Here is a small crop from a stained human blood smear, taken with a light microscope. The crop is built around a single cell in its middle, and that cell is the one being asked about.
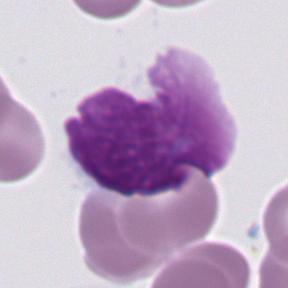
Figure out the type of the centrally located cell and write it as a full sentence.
Classification of the middle cell gives a smudge cell.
